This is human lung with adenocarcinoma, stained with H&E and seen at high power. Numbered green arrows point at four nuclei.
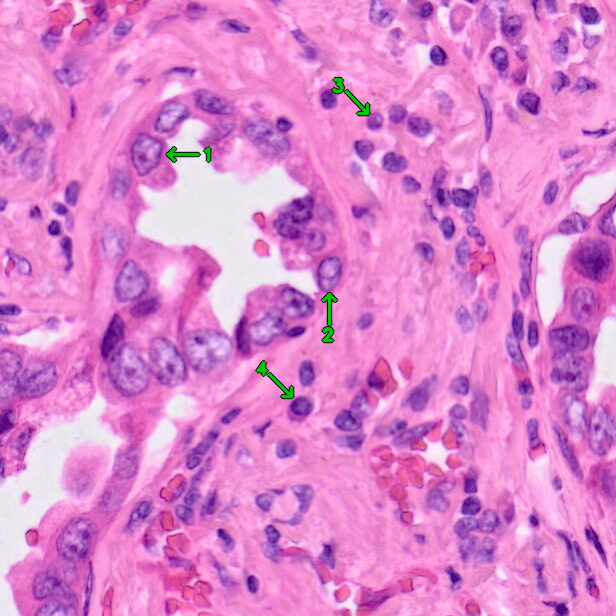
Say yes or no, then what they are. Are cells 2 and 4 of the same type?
No, sorry to say, cell 2 is a carcinoma cell and cell 4 is a plasma cell.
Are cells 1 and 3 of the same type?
No, what is marked as cell 1 is a carcinoma cell, and what is marked as cell 3 is a lymphocyte.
